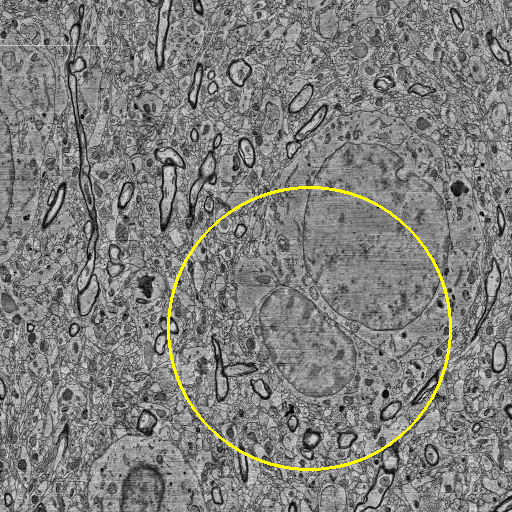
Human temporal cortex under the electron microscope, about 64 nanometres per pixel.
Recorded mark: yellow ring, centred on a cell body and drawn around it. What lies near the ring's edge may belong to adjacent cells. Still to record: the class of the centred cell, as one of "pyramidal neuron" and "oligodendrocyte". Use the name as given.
oligodendrocyte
